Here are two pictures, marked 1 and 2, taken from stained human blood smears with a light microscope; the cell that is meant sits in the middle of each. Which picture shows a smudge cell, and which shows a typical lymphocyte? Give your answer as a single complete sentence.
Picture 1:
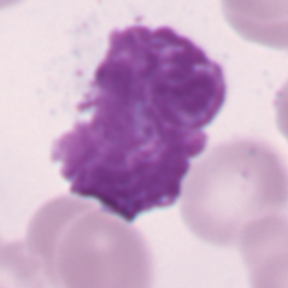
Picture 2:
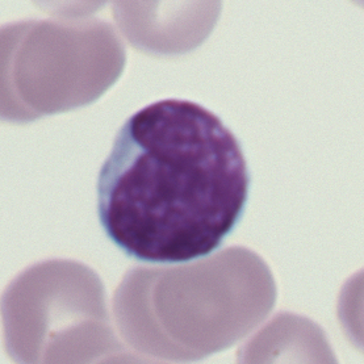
It is picture 1 that shows a smudge cell, and picture 2 that shows a typical lymphocyte.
